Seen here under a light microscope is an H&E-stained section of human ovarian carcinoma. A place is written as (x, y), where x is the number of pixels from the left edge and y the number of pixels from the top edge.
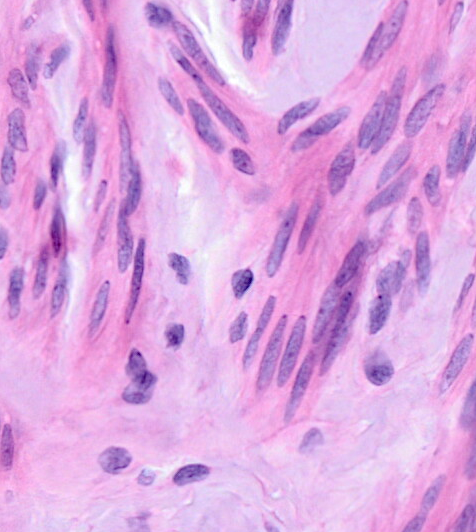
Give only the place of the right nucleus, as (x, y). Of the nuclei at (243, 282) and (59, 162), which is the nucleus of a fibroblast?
(243, 282)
